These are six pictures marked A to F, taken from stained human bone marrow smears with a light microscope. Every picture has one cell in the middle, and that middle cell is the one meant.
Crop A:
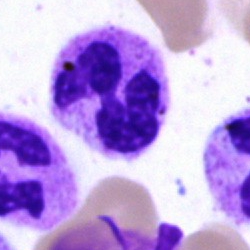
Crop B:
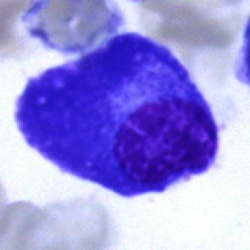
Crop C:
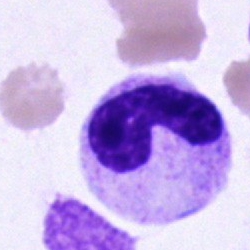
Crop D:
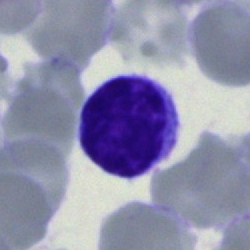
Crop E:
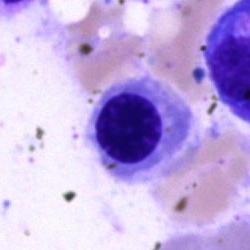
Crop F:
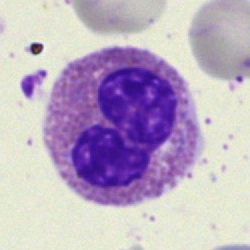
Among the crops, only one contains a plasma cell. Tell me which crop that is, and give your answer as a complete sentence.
The crop carrying a plasma cell at the center is crop B.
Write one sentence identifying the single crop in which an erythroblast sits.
In the set of crops, crop E is the one that contains an erythroblast.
